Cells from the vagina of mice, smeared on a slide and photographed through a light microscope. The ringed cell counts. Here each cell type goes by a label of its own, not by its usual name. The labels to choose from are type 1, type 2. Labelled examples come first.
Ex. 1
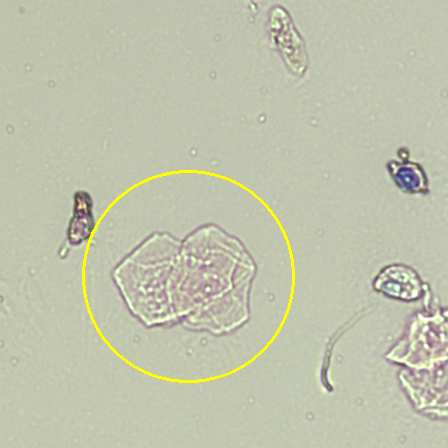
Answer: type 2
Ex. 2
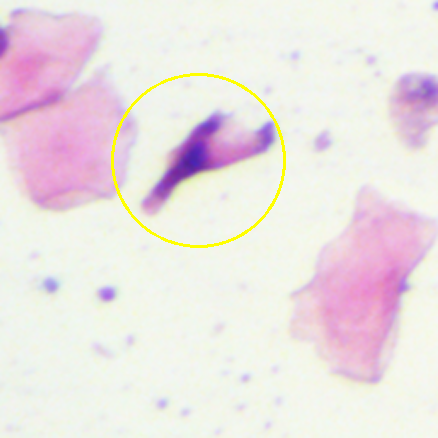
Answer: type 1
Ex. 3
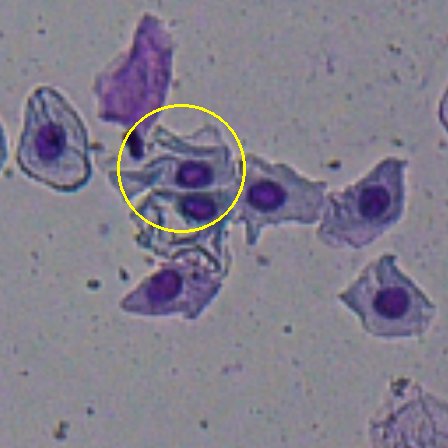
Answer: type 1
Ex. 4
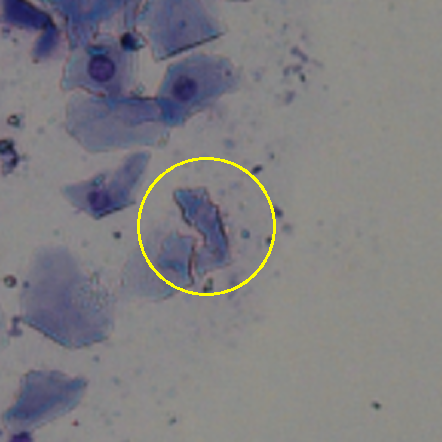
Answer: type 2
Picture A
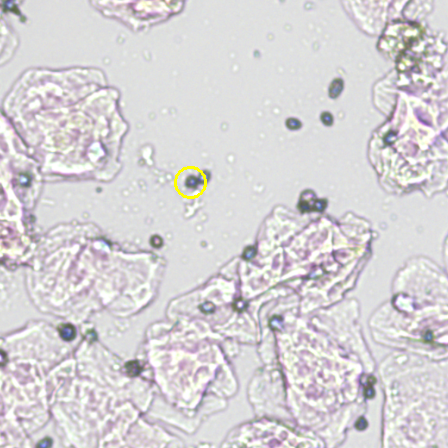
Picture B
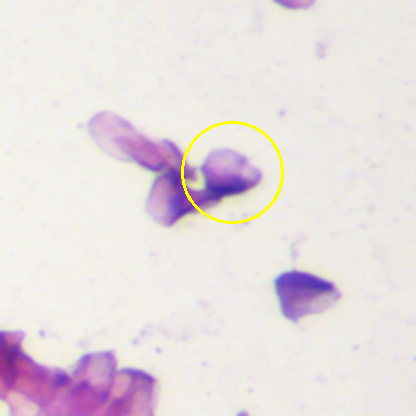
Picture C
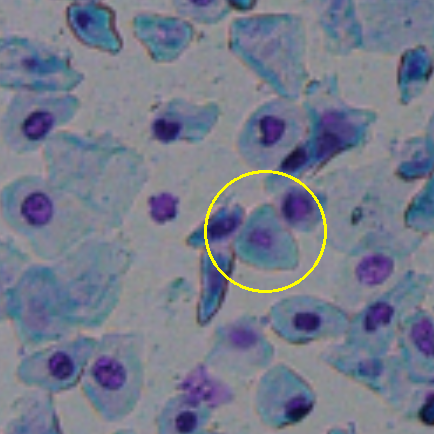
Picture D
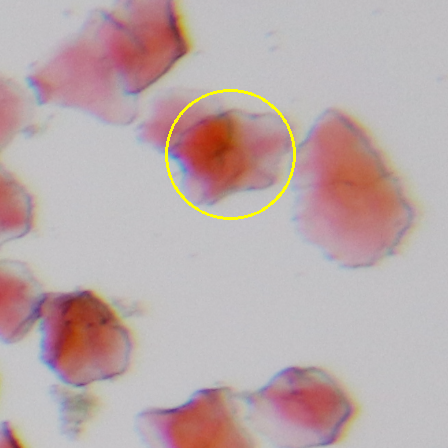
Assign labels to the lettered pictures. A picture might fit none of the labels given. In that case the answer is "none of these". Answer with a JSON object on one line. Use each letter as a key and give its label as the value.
{"A": "none of these", "B": "type 2", "C": "type 1", "D": "type 2"}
